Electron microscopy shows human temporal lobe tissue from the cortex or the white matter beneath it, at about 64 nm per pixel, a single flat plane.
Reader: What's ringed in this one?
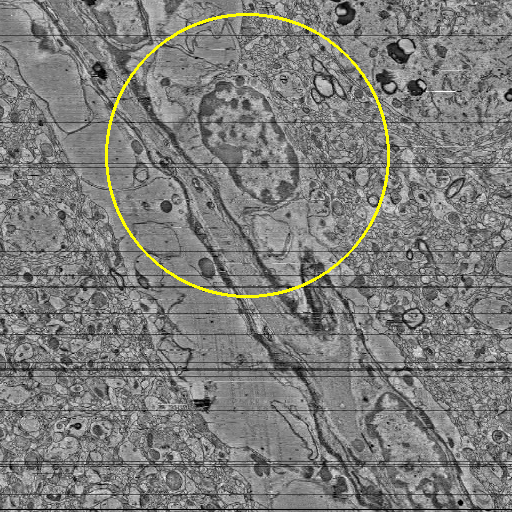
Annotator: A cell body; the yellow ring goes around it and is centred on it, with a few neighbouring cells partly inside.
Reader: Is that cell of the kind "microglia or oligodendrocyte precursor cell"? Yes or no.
yes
